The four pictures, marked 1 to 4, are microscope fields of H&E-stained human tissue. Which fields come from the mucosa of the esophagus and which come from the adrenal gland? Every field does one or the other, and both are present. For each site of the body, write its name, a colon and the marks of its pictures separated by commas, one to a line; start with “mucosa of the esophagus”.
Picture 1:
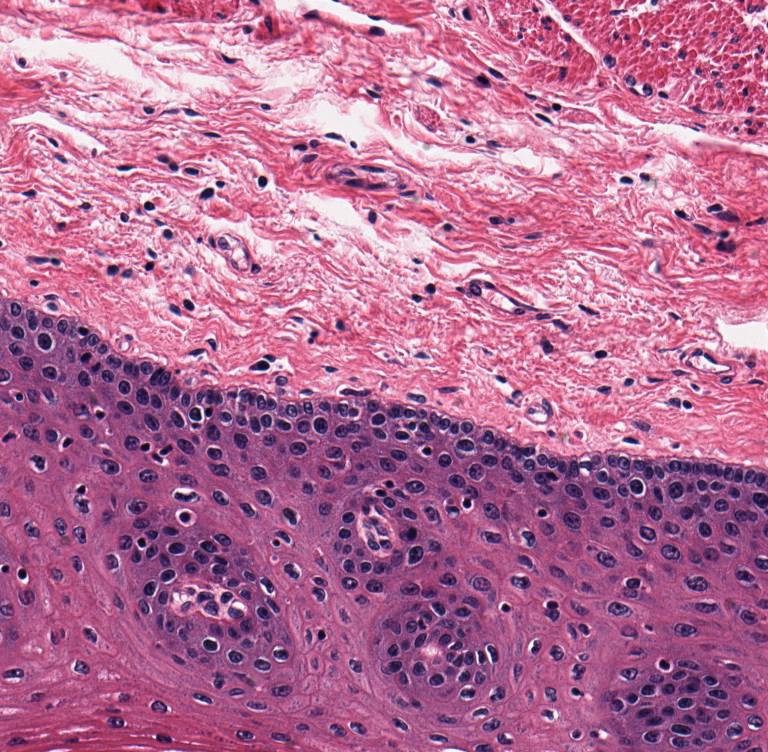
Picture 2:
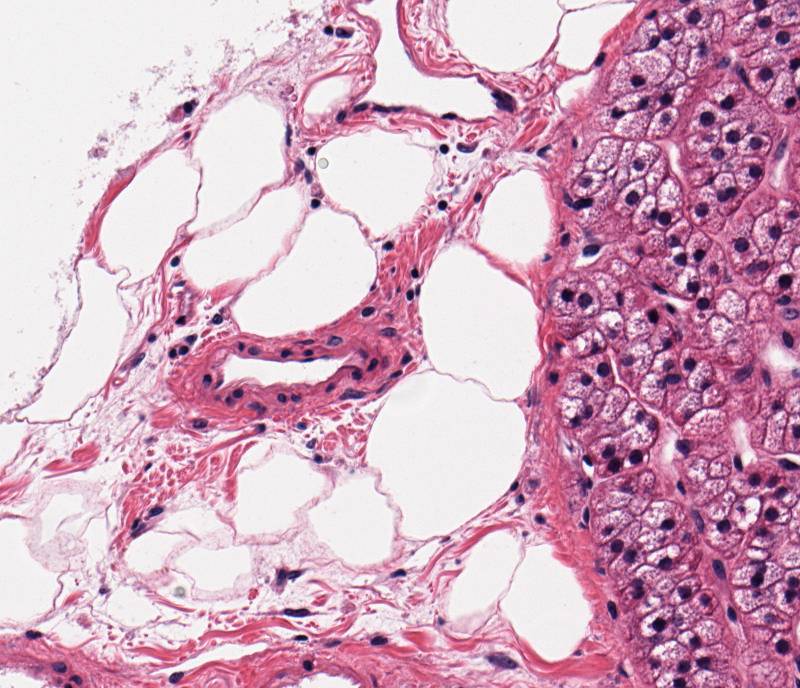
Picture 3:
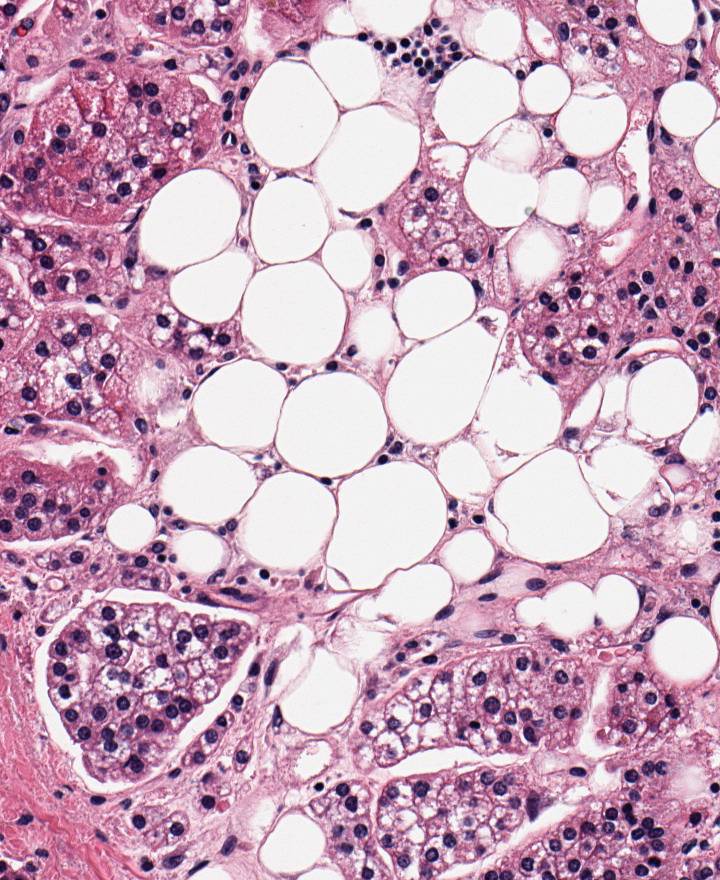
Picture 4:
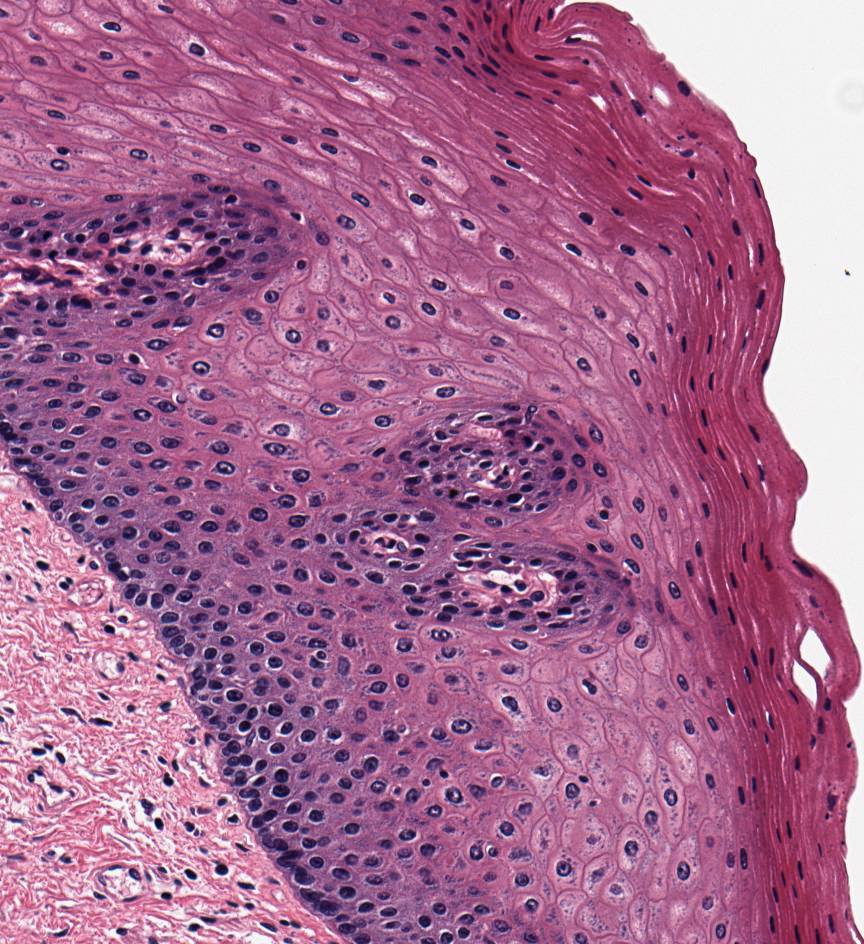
mucosa of the esophagus: 1, 4
adrenal gland: 2, 3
